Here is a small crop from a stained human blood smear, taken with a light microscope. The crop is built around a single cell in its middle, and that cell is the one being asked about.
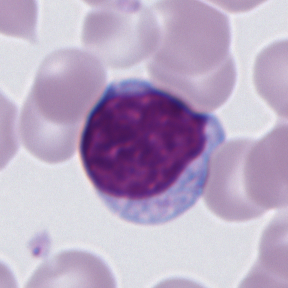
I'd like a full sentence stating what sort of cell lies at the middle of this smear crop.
The cell nearest the centre of this crop is a large granular lymphocyte.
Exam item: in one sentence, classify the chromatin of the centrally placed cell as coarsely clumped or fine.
Its nuclear chromatin is gathered into coarse clumps.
